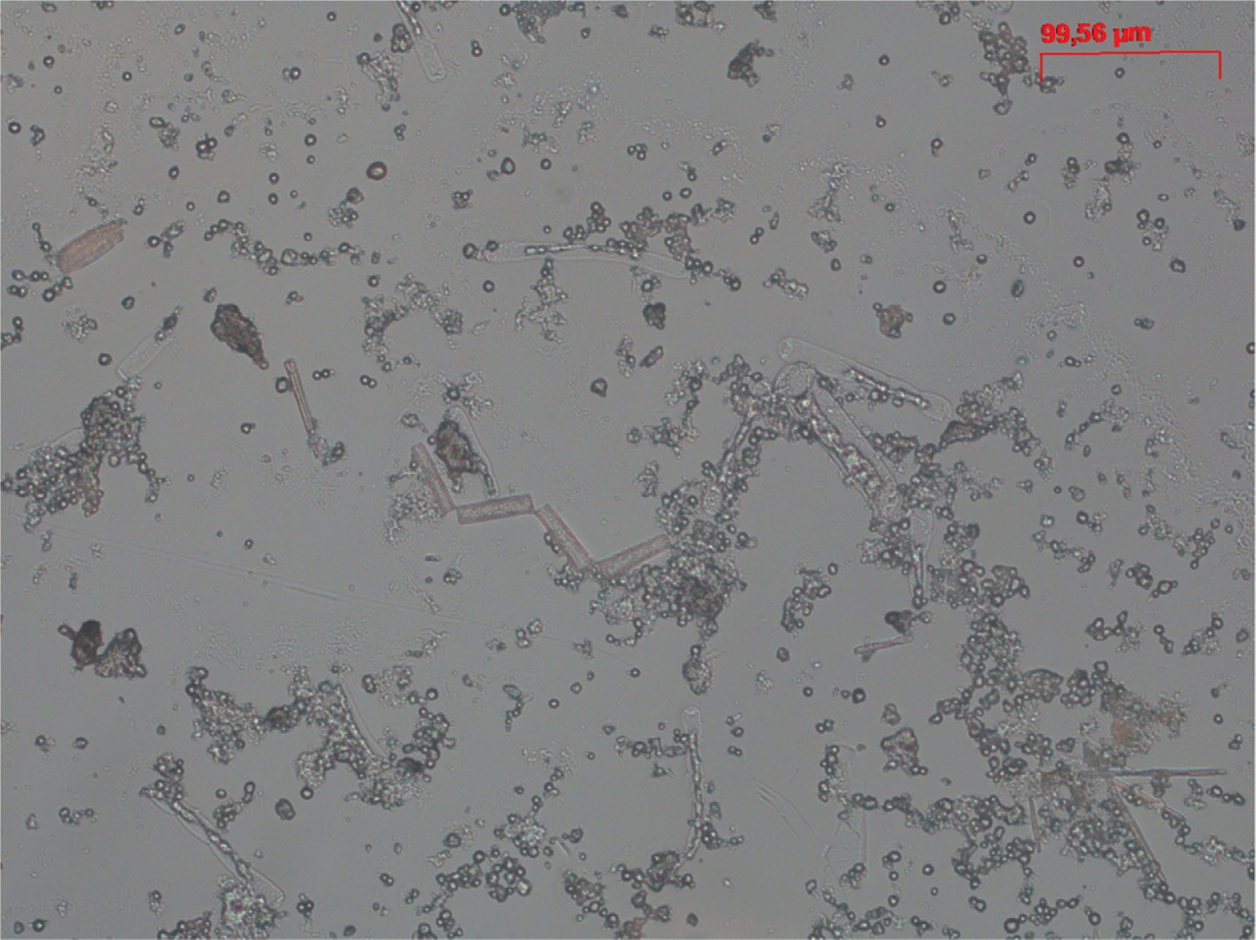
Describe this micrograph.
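Across the field lie many small round particles with dark rims and pale centres. They lie singly or clumped into irregular aggregates with finer granular debris. Scattered brown to dark amorphous fragments are present. Elongate, translucent, rectangular cells with straight walls are seen. In the centre several of them are joined at alternate corners in a zigzag chain, and others lie singly or are partly covered by debris. Most material has no recognisable cell outline.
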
